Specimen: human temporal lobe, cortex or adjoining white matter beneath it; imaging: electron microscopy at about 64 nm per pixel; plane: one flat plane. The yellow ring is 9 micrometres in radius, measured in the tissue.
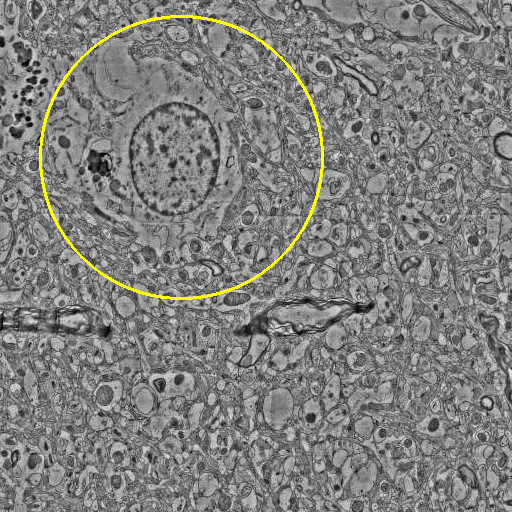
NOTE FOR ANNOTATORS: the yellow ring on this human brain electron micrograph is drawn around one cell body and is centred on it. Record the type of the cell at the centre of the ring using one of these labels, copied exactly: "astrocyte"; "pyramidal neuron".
astrocyte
